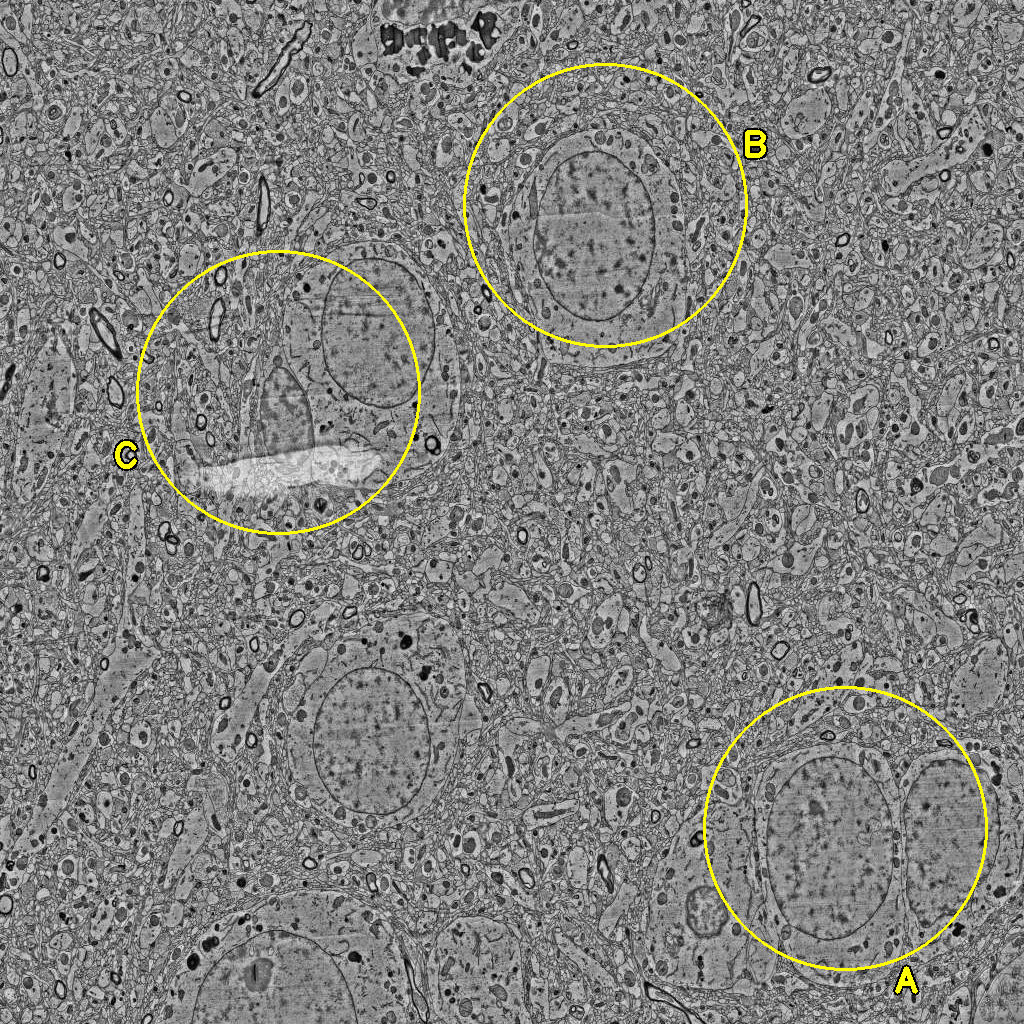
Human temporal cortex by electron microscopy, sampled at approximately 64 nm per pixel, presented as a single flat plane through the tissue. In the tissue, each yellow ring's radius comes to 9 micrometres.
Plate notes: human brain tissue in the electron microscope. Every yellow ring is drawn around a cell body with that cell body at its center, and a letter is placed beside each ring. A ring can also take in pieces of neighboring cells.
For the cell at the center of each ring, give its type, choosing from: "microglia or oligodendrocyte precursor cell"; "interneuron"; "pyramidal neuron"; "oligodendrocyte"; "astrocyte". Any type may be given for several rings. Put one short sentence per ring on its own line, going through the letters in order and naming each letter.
Ring A shows a pyramidal neuron at the center.
Ring B shows a pyramidal neuron at the center.
Ring C shows an oligodendrocyte at the center.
